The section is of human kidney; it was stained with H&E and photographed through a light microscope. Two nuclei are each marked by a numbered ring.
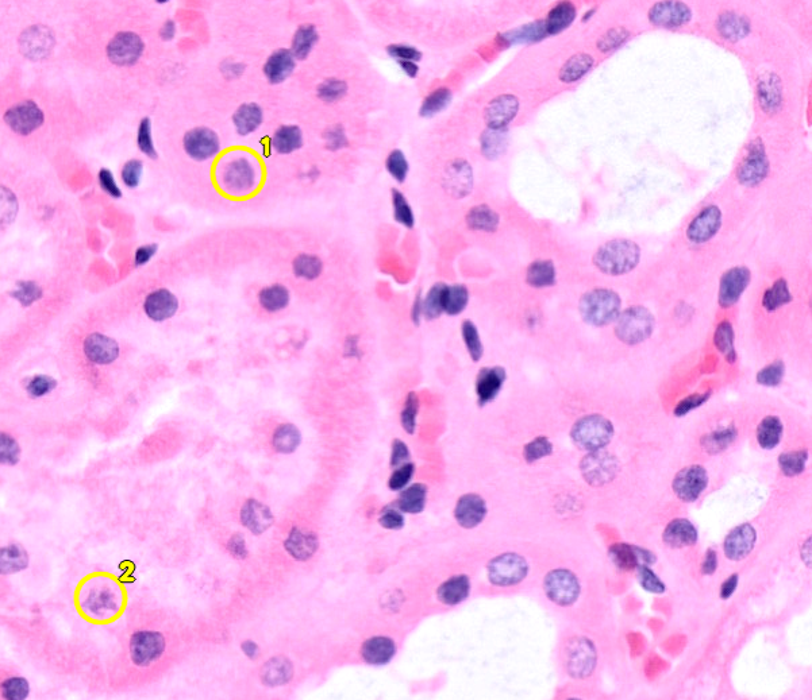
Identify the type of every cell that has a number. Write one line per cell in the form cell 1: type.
cell 1: loop of Henle or distal tubule cell
cell 2: proximal tubule cell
